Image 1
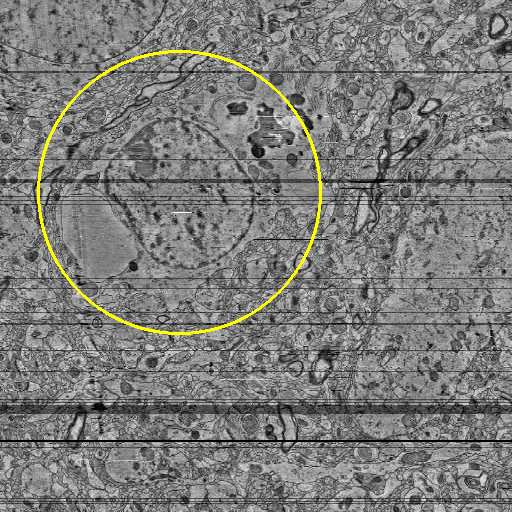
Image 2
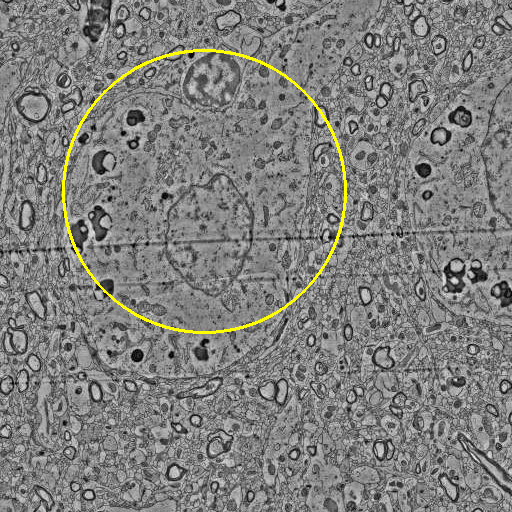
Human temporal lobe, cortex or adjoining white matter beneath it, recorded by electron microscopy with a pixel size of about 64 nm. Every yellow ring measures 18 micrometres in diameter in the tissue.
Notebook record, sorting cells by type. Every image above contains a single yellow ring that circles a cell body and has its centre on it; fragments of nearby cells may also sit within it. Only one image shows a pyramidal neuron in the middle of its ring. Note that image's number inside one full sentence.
For image 2, the cell in the middle of its yellow ring is the match.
